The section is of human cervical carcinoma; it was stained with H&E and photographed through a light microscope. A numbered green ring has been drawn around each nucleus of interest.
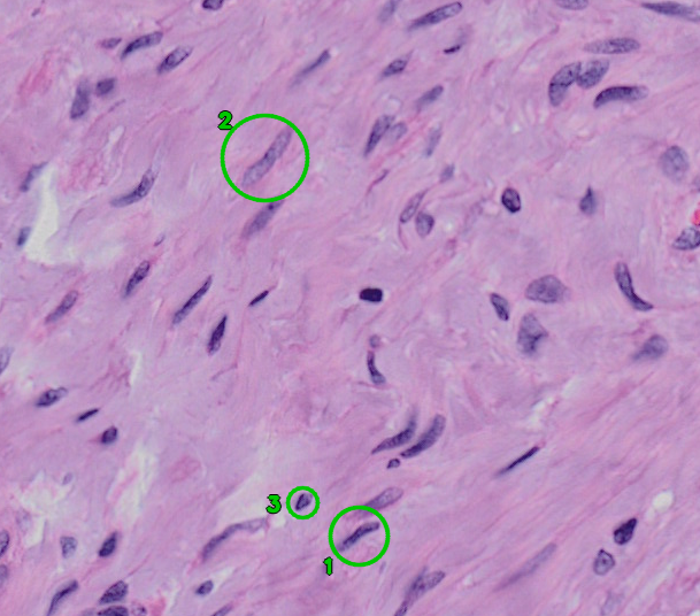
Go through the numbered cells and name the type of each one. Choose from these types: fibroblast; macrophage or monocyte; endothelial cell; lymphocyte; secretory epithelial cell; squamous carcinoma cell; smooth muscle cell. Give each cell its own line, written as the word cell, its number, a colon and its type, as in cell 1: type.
cell 1: fibroblast
cell 2: smooth muscle cell
cell 3: fibroblast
